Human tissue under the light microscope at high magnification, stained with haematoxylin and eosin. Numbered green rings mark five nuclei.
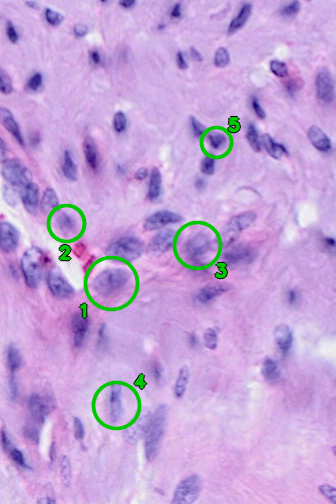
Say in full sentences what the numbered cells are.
Cell 1 is an endothelial cell, cell 2 is an endothelial cell, cell 3 is an endothelial cell, cell 4 is a fibroblast and cell 5 is a fibroblast.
